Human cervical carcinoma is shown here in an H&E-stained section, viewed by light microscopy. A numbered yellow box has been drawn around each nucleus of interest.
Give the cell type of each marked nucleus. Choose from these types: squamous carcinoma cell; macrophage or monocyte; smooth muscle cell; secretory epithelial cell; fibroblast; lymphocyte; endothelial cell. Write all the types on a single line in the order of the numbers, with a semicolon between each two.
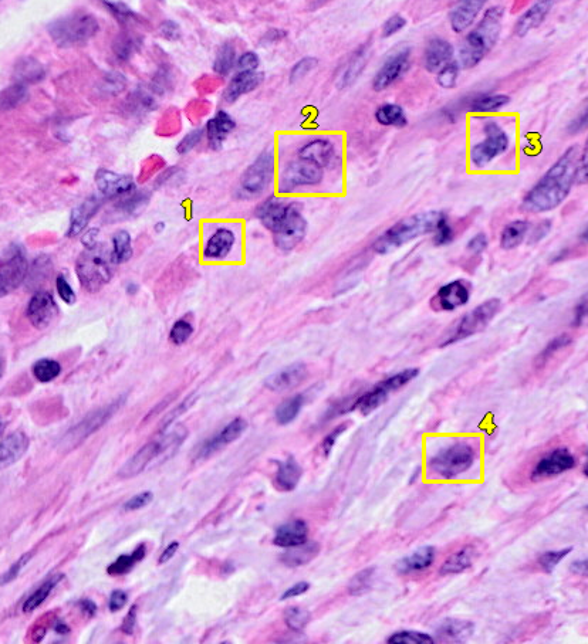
lymphocyte; endothelial cell; lymphocyte; macrophage or monocyte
